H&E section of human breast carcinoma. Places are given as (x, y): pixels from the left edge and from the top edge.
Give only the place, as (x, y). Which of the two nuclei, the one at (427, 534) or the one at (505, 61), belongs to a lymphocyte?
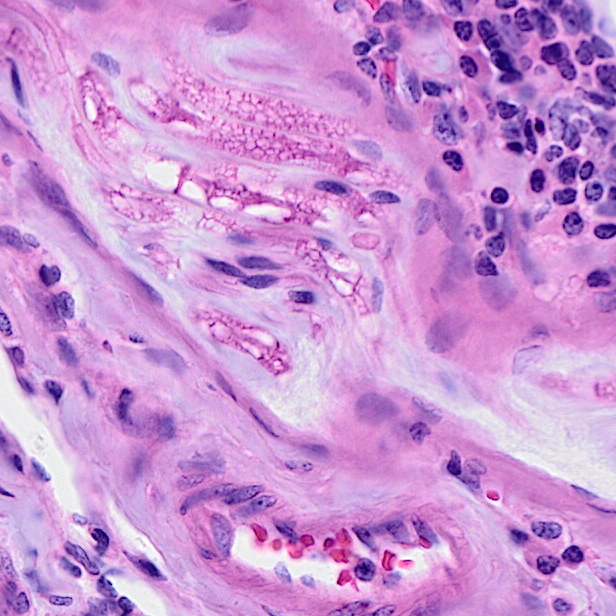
(505, 61)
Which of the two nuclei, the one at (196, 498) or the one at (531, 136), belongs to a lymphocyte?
(531, 136)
